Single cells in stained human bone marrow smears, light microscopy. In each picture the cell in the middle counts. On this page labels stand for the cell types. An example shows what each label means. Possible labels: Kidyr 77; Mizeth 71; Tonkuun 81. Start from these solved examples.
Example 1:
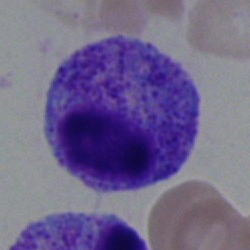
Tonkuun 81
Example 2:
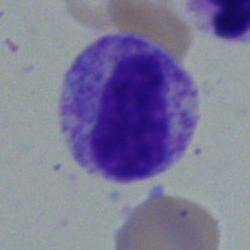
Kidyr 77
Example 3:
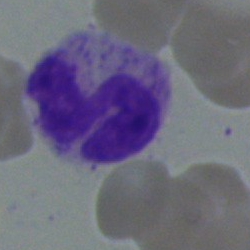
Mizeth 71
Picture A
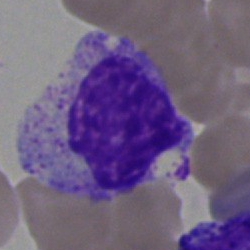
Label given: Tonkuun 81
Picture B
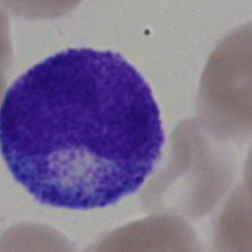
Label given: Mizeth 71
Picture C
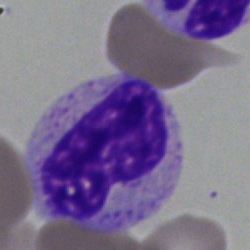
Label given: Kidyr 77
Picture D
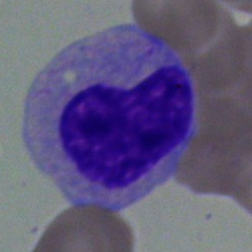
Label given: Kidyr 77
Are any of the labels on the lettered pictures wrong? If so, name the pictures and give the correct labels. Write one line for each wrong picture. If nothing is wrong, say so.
B should be Kidyr 77, not Mizeth 71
